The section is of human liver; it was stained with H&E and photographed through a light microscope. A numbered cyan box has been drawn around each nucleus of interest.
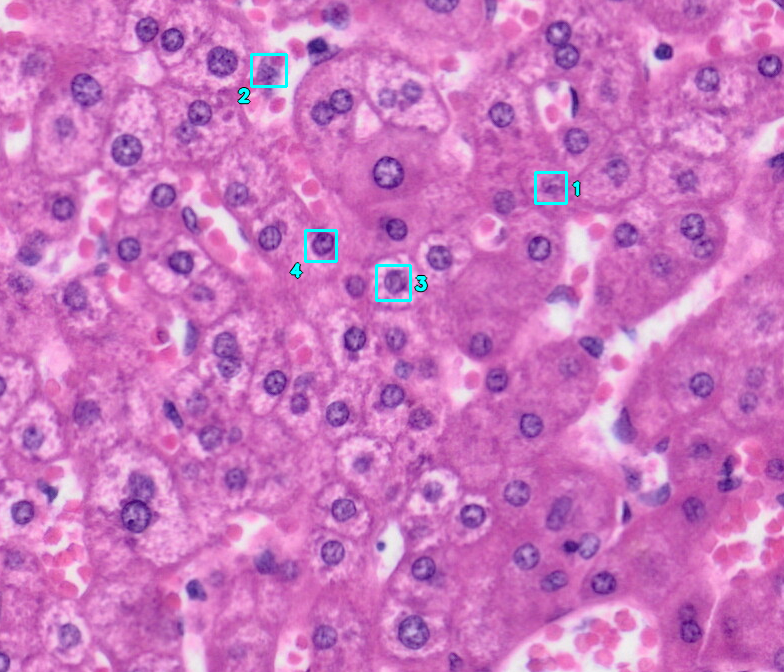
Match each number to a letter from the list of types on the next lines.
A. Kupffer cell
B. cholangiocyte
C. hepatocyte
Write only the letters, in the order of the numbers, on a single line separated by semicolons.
C; A; C; C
